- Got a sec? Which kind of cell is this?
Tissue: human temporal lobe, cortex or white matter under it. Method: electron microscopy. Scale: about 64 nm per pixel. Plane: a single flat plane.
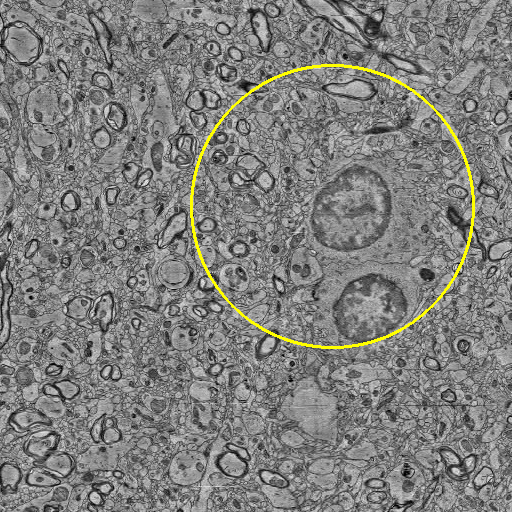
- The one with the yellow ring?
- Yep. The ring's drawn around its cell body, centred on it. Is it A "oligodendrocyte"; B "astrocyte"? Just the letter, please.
A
